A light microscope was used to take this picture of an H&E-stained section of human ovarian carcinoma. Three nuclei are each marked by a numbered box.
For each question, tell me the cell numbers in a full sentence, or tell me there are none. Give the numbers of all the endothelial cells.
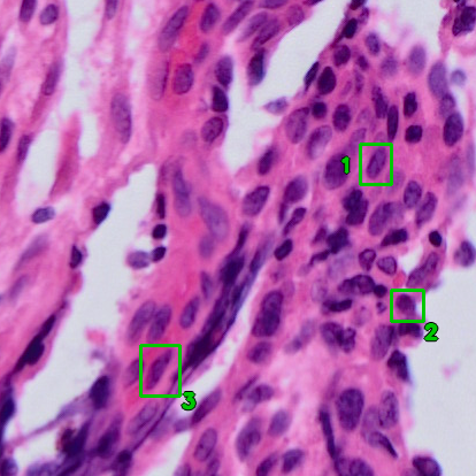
Exactly one of the numbered cells is an endothelial cell, namely cell 3.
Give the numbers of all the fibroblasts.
In the set of numbered cells, fibroblasts are not found.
